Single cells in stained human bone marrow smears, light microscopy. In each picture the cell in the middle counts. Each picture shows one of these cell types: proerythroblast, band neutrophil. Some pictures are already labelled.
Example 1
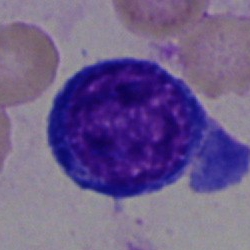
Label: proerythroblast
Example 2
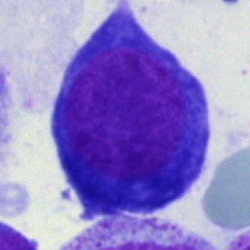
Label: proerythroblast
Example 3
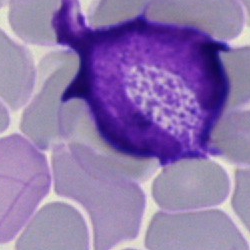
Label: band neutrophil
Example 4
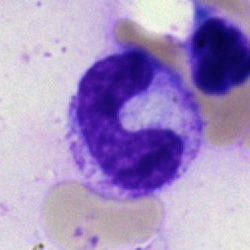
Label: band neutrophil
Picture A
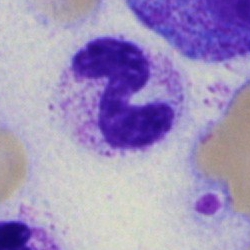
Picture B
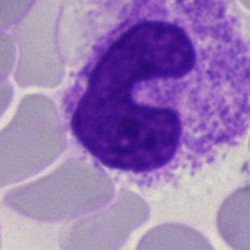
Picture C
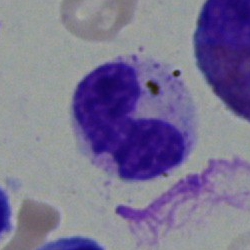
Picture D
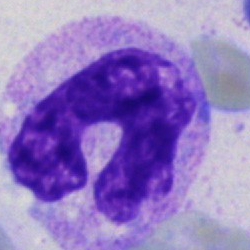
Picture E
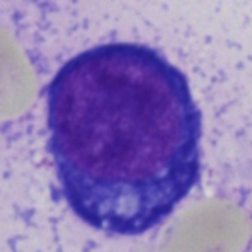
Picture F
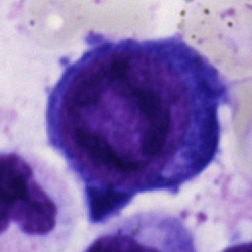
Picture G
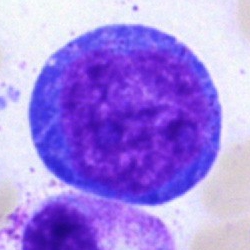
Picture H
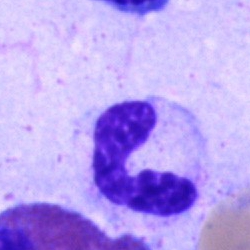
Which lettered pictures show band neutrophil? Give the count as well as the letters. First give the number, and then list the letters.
Count: 5 (A, B, C, D, H)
